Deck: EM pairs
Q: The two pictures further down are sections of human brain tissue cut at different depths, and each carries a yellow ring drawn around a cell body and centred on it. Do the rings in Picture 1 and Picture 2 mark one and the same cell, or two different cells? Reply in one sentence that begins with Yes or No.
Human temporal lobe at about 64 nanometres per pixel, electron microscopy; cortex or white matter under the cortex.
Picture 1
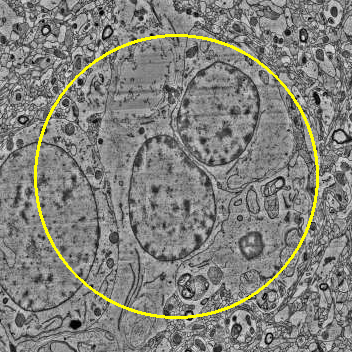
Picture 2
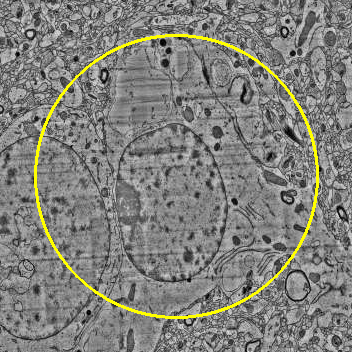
Yes, the same cell has been marked in both yellow rings.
